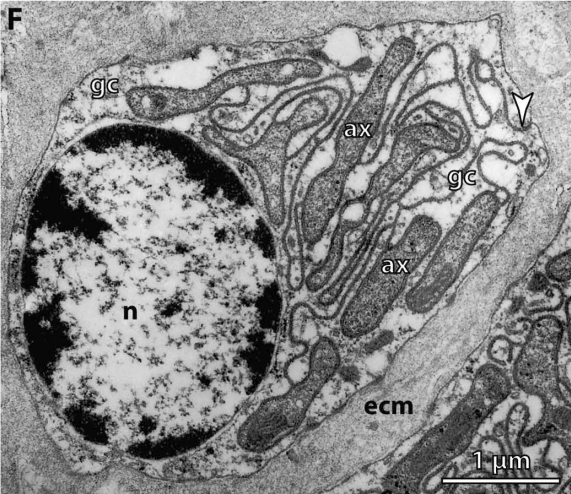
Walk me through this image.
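A glial cell with a large oval nucleus, showing dark clumped chromatin along its rim, sits in fibrous extracellular matrix. Beside the nucleus the glial cytoplasm wraps several elongated axon profiles in thin, rolled-up membranous processes. The outer processes of the cell meet at its border with the matrix.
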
